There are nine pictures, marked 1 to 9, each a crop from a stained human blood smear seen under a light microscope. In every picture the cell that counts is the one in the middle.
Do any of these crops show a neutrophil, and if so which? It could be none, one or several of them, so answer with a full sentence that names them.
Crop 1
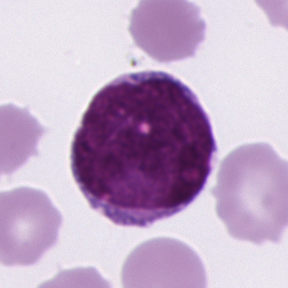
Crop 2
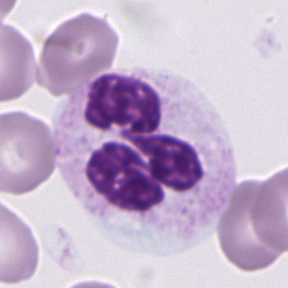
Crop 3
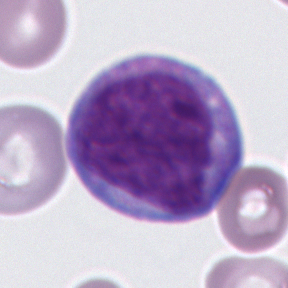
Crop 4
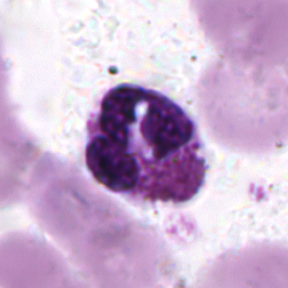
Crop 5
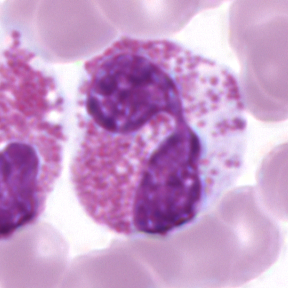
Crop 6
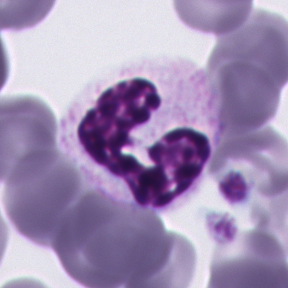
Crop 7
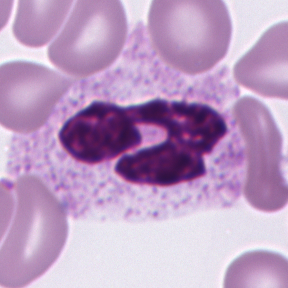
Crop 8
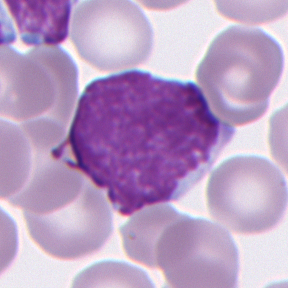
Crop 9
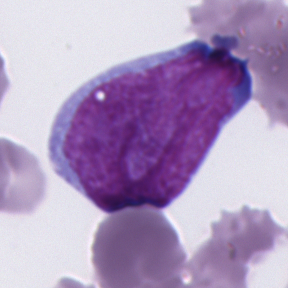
The crops marked 2, 6 and 7 contain neutrophils at the centre.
